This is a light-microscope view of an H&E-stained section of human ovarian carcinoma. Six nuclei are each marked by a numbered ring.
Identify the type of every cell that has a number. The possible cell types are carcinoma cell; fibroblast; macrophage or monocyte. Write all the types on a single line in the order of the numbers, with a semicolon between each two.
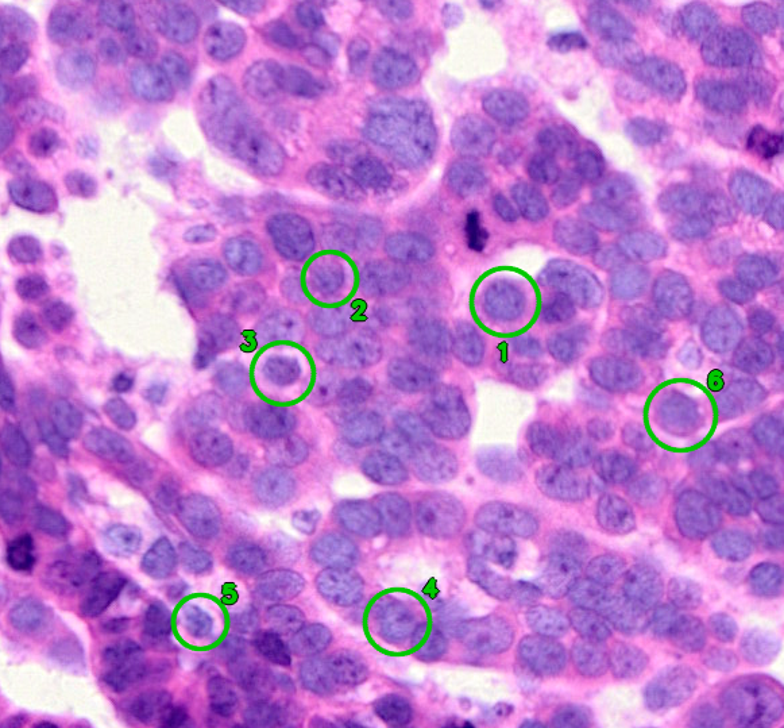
carcinoma cell; carcinoma cell; macrophage or monocyte; carcinoma cell; macrophage or monocyte; carcinoma cell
